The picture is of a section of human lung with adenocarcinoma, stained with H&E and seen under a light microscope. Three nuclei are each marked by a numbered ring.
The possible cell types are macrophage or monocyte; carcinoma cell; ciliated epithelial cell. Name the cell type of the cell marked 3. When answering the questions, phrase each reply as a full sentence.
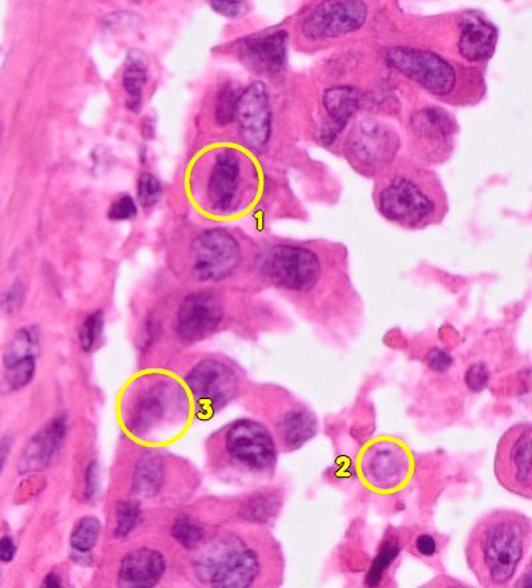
The marked cell bearing number 3 is a carcinoma cell.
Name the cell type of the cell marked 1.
In this section, number 1 marks a carcinoma cell.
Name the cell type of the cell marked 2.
As for number 2, that cell is a macrophage or monocyte.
